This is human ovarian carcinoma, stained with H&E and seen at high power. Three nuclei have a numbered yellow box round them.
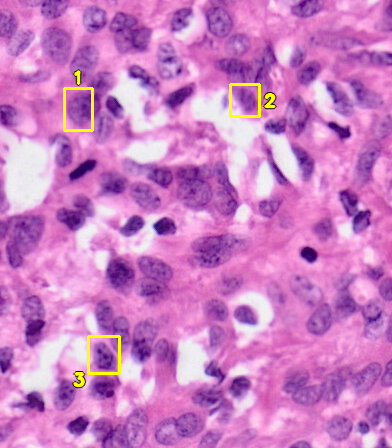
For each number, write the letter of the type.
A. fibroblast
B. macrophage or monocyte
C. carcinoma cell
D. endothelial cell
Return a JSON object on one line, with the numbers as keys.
{"1": "C", "2": "C", "3": "B"}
